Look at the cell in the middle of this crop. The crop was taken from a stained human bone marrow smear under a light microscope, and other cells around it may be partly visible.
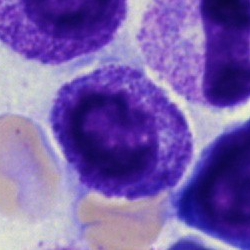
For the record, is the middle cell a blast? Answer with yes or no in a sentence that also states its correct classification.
No, the central cell is designated a myelocyte and not a blast.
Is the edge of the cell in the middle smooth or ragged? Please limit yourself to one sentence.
The cytoplasmic margin is uneven, whether through ragged segments or through projections.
